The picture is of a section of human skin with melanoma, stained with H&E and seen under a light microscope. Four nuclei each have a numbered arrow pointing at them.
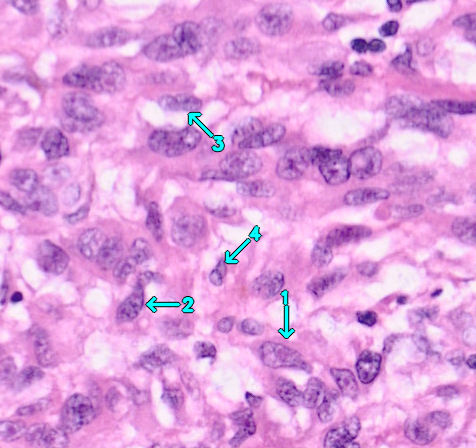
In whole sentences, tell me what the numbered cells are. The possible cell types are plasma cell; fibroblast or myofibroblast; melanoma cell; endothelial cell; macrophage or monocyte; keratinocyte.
Cell 1 is a melanoma cell, cell 2 is a melanoma cell, cell 3 is a melanoma cell and cell 4 is a macrophage or monocyte.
